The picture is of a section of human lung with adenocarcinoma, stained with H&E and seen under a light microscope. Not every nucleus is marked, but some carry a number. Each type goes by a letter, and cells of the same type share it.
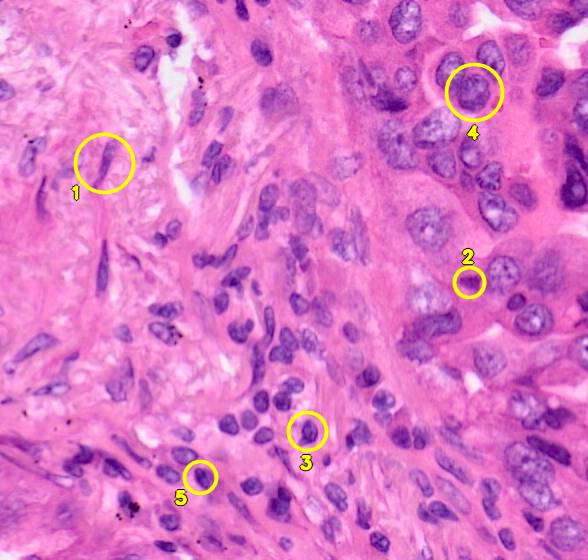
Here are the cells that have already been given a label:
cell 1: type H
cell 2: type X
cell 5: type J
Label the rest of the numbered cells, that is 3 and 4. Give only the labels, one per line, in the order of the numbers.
type J
type X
